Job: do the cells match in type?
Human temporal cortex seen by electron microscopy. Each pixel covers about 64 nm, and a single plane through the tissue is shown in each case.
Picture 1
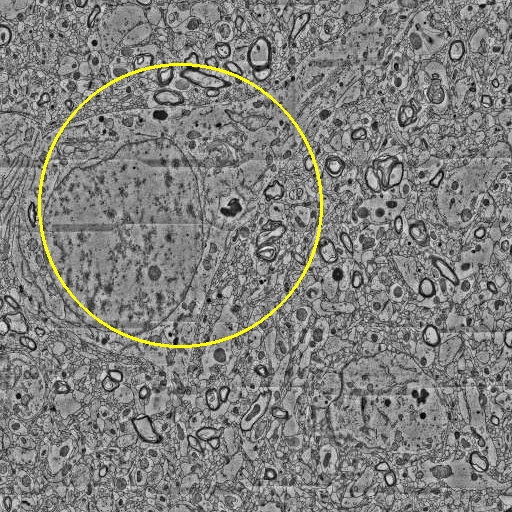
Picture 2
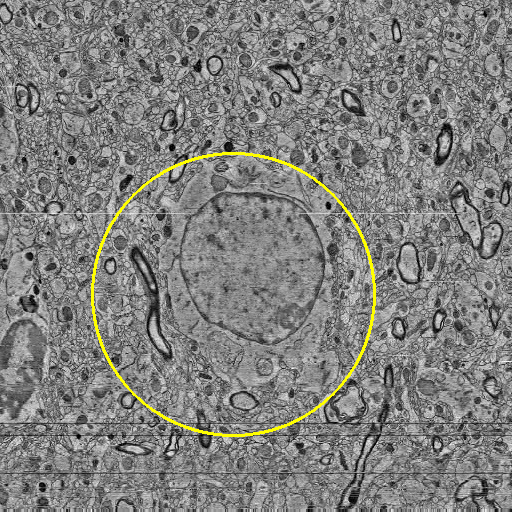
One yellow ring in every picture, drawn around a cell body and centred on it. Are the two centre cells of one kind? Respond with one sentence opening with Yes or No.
No, the ringed cells in the two pictures are of two separate kinds.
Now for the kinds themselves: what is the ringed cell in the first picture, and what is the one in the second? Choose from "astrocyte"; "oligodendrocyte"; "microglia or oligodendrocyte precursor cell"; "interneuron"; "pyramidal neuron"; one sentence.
Here the first cell is a pyramidal neuron and the second cell is an astrocyte.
